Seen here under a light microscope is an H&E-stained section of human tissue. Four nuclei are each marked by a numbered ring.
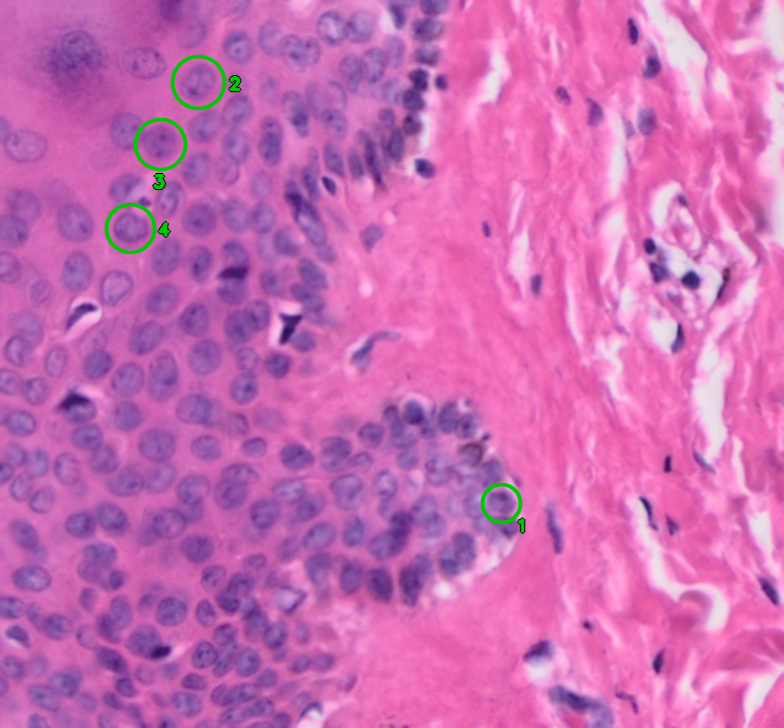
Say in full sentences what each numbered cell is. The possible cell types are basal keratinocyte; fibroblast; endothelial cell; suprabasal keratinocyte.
Cell 1 is a basal keratinocyte, cell 2 is a suprabasal keratinocyte, cell 3 is a suprabasal keratinocyte and cell 4 is a suprabasal keratinocyte.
